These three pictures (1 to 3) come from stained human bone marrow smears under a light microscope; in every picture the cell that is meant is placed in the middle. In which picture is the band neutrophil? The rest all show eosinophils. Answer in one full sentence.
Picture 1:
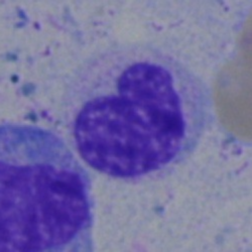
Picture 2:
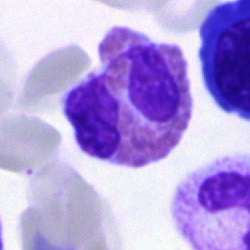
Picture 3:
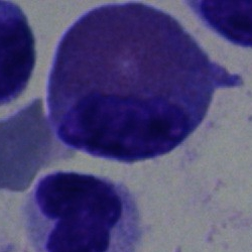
The picture with the band neutrophil is 1.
